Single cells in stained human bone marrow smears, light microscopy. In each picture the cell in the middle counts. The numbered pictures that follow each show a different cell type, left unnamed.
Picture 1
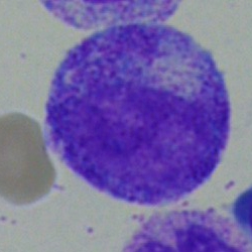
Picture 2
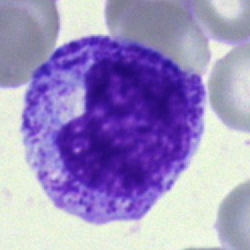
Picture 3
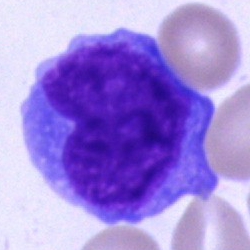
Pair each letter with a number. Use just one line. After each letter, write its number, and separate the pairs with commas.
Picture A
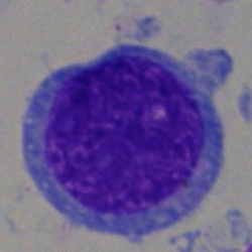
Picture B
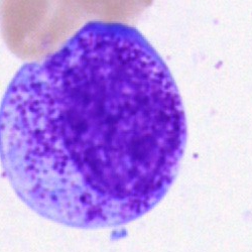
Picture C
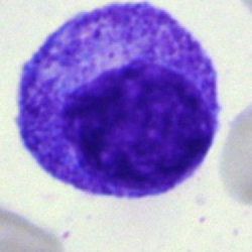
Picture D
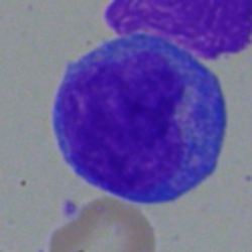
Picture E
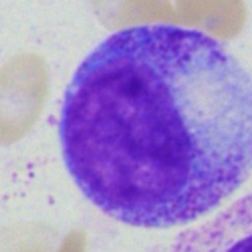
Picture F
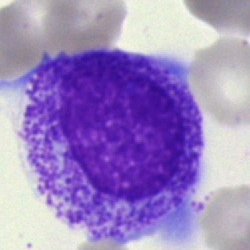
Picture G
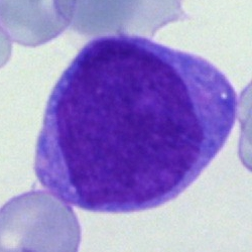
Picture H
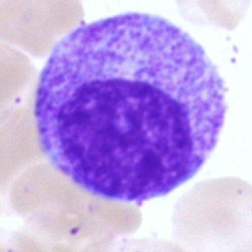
A 3, B 1, C 1, D 3, E 1, F 2, G 3, H 2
